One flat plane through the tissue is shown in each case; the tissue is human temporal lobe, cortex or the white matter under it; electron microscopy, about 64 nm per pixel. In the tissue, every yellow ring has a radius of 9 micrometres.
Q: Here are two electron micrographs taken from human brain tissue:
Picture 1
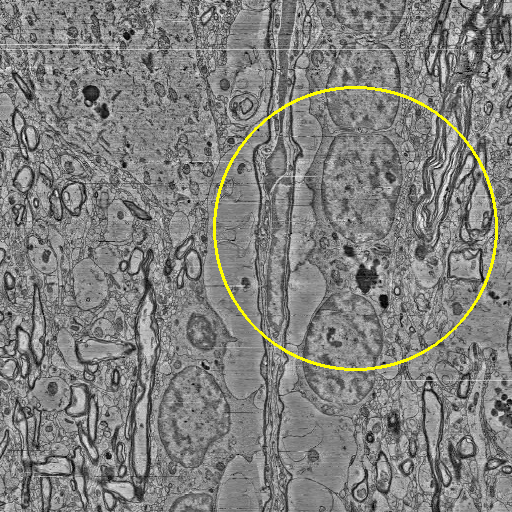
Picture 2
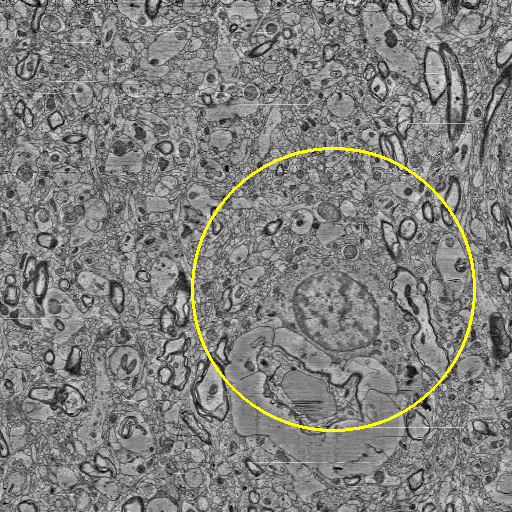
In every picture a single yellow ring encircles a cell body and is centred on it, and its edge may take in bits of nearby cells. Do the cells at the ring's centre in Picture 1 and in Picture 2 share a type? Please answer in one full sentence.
Yes, the cells at the ring's centre in Picture 1 and Picture 2 share a type.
